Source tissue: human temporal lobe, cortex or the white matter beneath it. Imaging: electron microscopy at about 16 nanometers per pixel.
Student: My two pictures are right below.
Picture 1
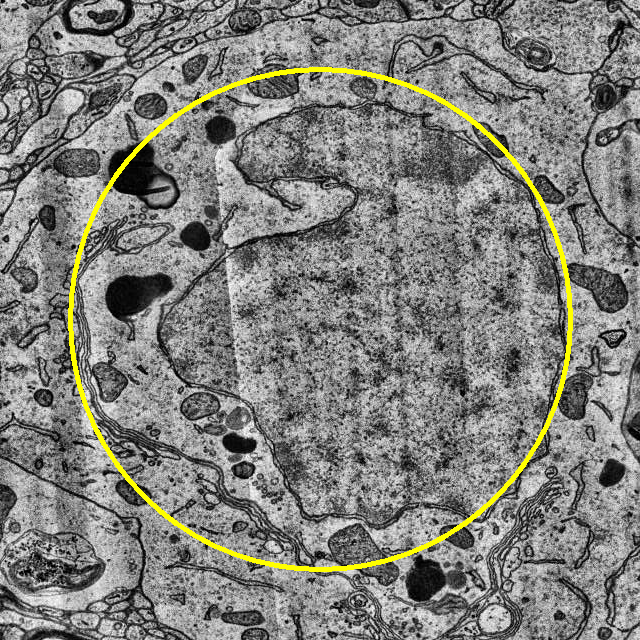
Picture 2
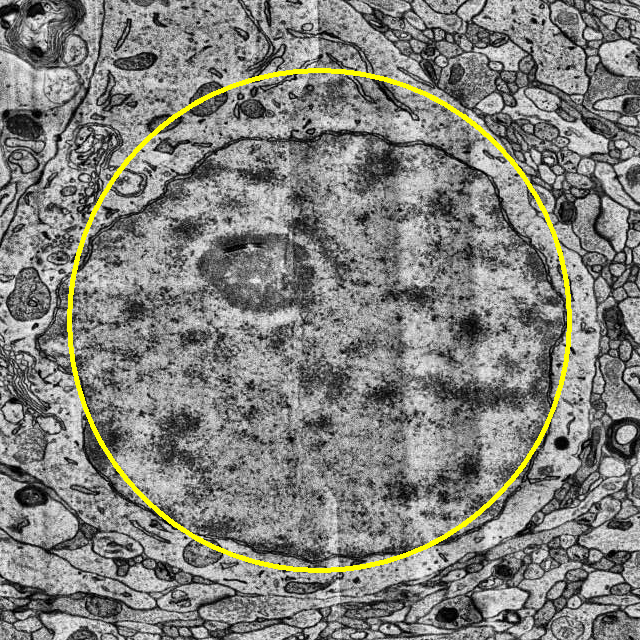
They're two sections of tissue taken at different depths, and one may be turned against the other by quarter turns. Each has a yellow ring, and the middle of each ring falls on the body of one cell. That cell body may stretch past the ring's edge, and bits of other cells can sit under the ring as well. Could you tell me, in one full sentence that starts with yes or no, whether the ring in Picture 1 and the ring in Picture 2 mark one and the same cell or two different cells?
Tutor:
No, a different cell sits inside each of the two rings.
